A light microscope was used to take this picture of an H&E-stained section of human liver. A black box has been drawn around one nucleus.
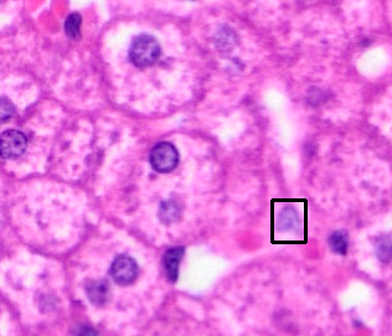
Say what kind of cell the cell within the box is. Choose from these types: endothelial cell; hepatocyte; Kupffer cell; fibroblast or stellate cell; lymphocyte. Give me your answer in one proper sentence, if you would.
Placed in its cell category, the cell within the box is a Kupffer cell.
